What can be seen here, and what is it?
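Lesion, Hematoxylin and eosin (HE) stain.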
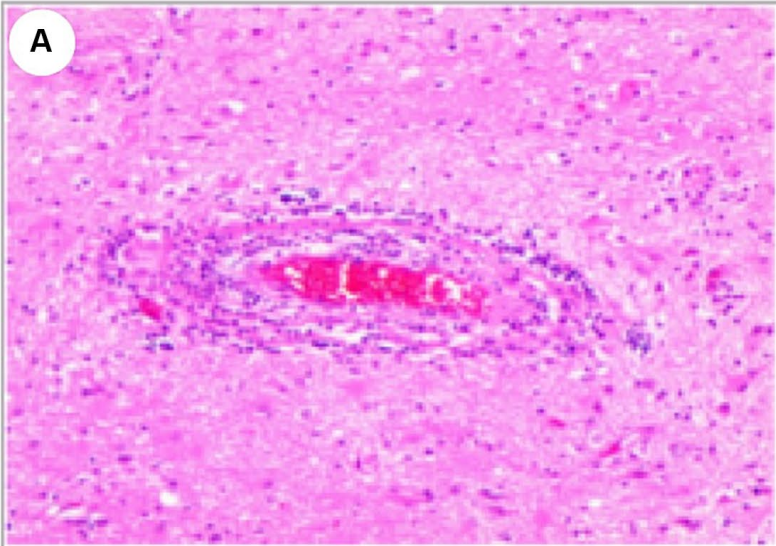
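Small blood vessel cut lengthwise in a pale pink, loosely textured tissue, its lumen packed with bright red blood cells. The vessel wall forms concentric layers around the lumen, and these layers and the space around them are crowded by many small round dark-blue nuclei of lymphocytes, forming a dense perivascular cuff. The infiltrate runs into the wall itself, whose layers look loosened.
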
